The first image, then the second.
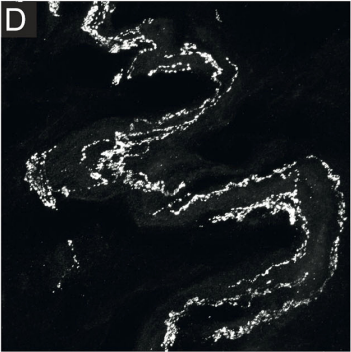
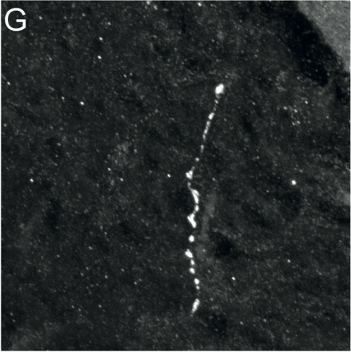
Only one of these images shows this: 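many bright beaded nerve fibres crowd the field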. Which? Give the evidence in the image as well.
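Second image: a single short beaded fibre in the centre. First image: many winding beaded fibres cover much of the field.
The first image.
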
